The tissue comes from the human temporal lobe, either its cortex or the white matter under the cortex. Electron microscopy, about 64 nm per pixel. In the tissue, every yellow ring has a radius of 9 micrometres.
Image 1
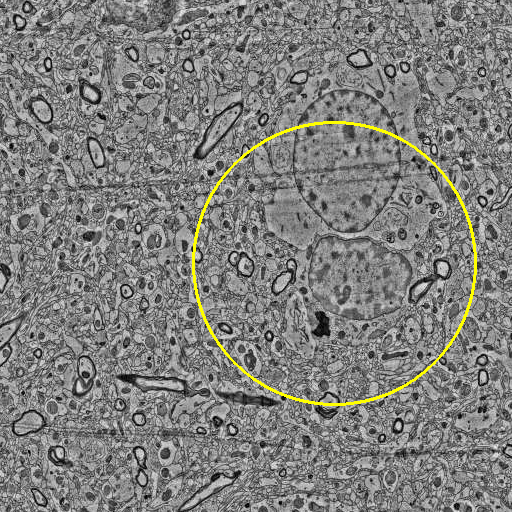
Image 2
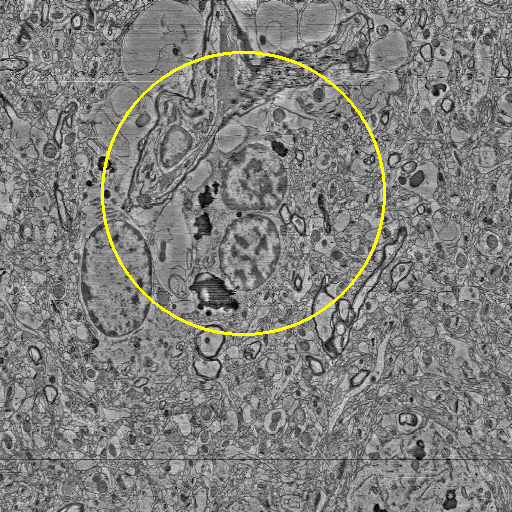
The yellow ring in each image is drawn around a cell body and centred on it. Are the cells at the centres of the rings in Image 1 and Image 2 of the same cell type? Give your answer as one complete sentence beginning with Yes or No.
Yes, both cells are of the same type.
